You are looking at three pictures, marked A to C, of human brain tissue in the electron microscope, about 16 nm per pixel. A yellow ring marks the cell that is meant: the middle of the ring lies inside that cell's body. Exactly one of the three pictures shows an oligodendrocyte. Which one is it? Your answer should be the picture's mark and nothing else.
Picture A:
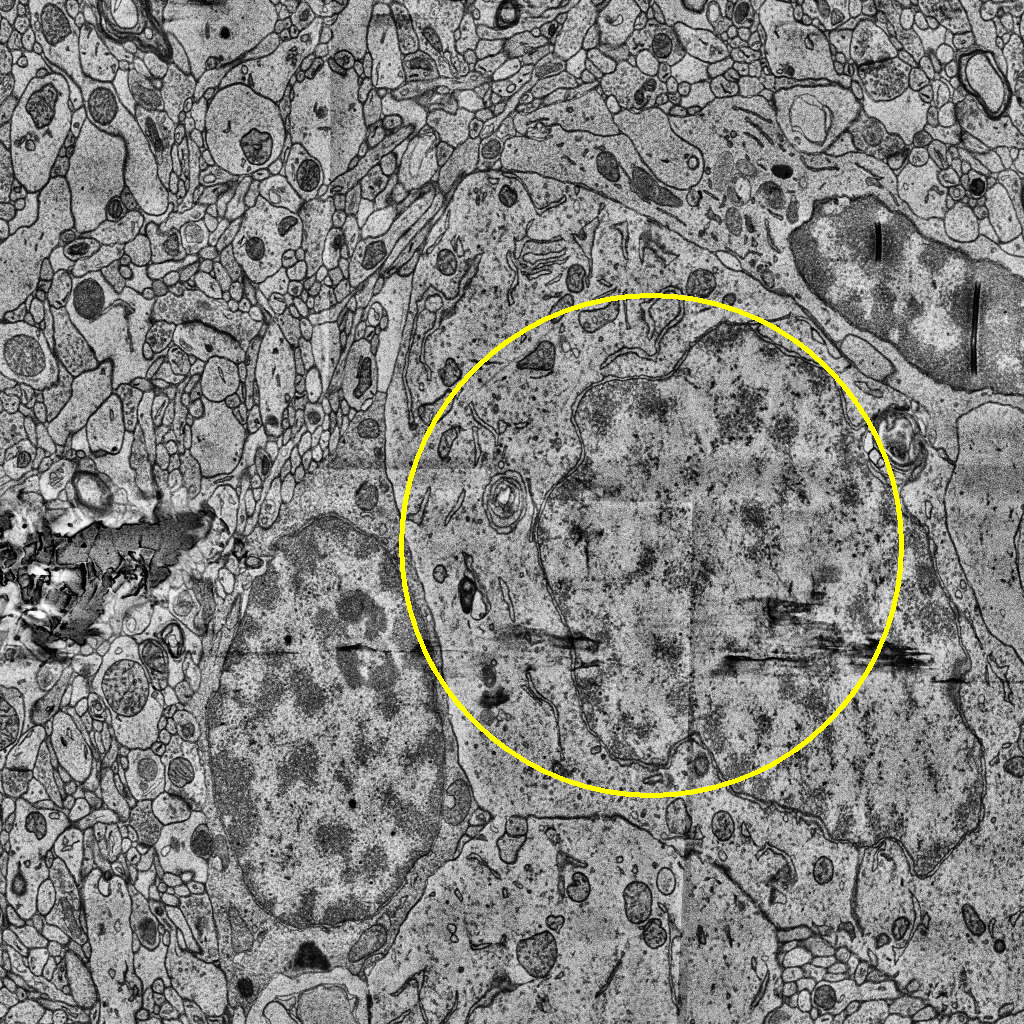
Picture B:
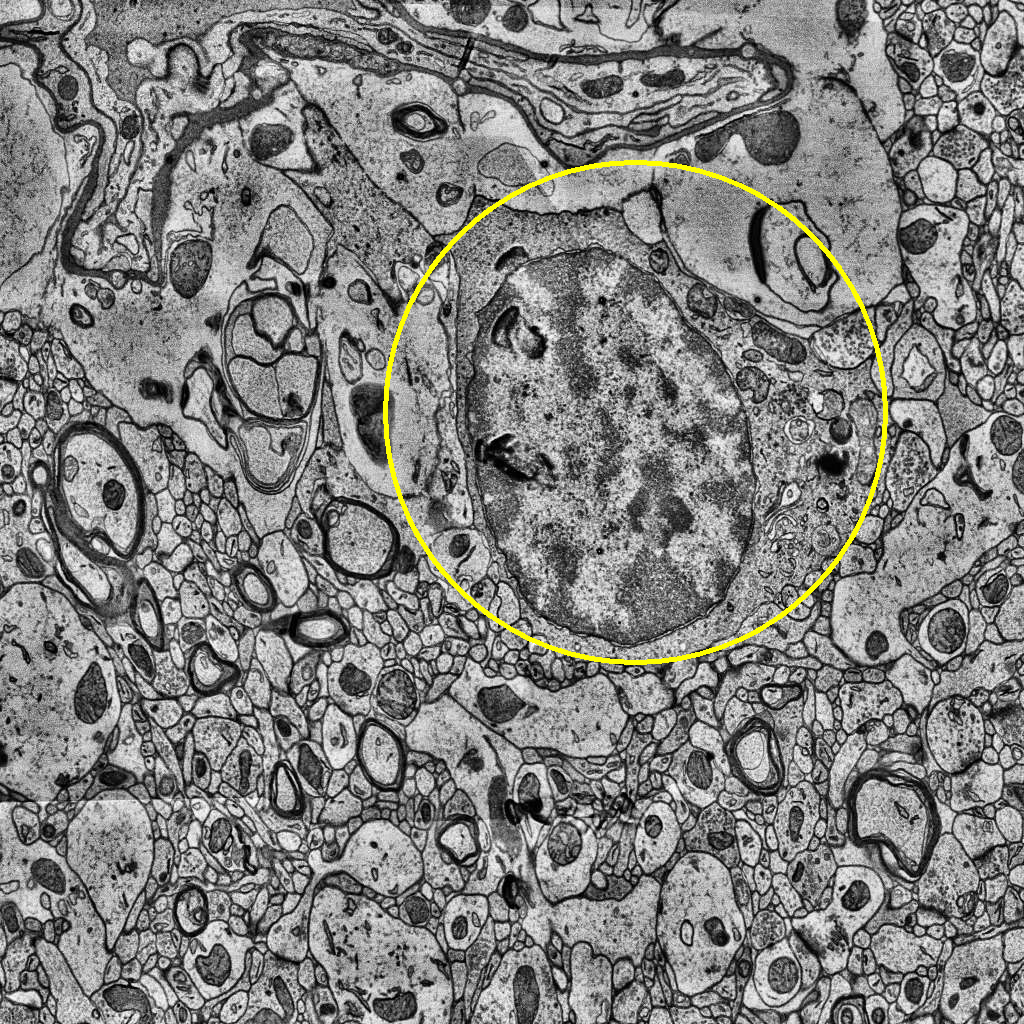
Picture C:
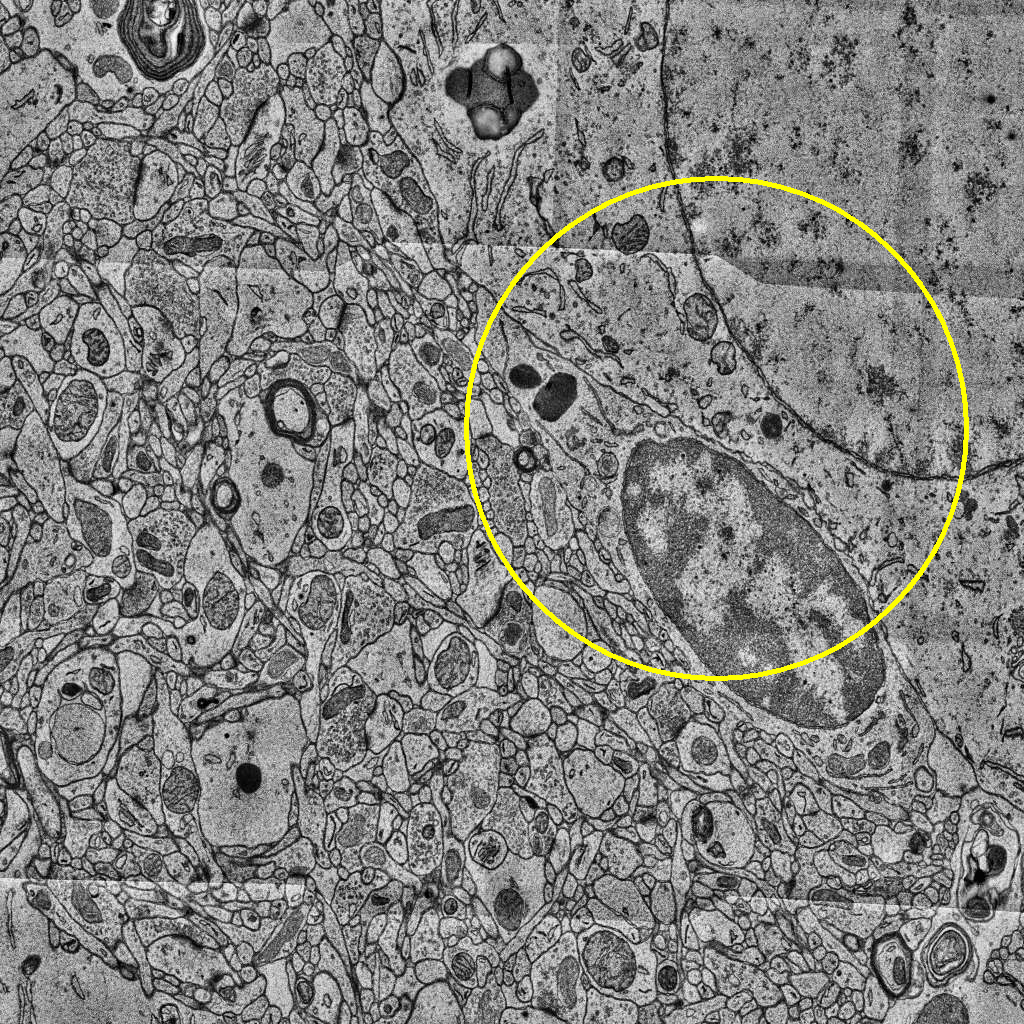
B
